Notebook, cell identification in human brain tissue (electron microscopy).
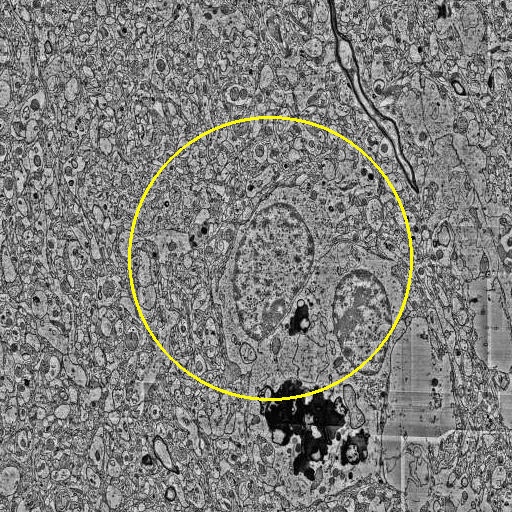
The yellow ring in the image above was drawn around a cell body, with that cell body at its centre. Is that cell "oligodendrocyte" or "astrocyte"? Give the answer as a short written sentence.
The cell in the ring is an astrocyte.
